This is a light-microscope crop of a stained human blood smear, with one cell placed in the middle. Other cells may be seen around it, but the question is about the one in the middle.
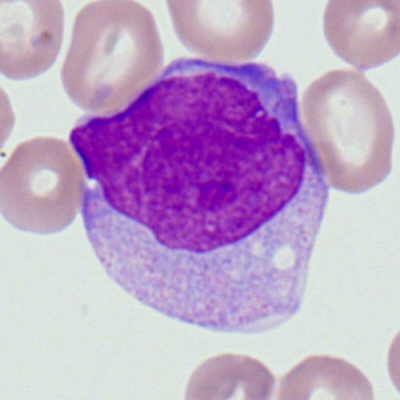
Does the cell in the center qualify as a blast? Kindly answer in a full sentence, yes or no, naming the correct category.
No, the correct answer for the middle cell is a monocyte, not a blast.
